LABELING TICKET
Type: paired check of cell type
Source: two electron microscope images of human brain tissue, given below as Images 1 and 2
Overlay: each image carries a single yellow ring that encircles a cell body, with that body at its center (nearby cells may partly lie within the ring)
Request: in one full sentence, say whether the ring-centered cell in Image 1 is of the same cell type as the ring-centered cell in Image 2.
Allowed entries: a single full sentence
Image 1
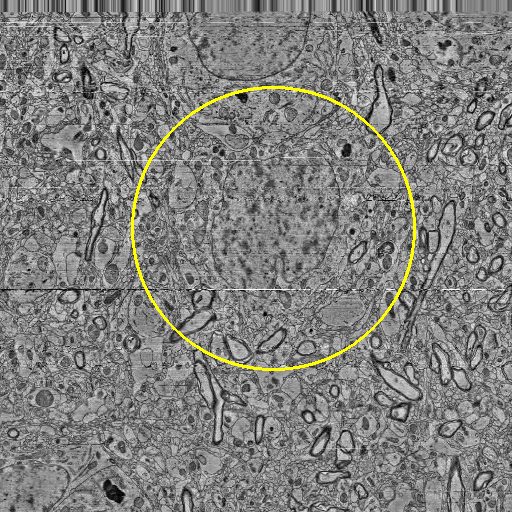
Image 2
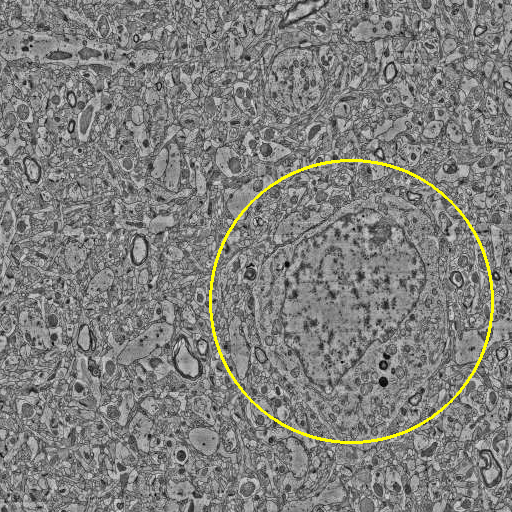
Yes, the cells centered in the rings of Image 1 and Image 2 share one type.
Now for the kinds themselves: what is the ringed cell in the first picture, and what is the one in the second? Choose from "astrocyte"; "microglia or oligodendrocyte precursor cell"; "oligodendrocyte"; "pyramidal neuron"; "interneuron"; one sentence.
Each of the two rings is centred on an interneuron.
